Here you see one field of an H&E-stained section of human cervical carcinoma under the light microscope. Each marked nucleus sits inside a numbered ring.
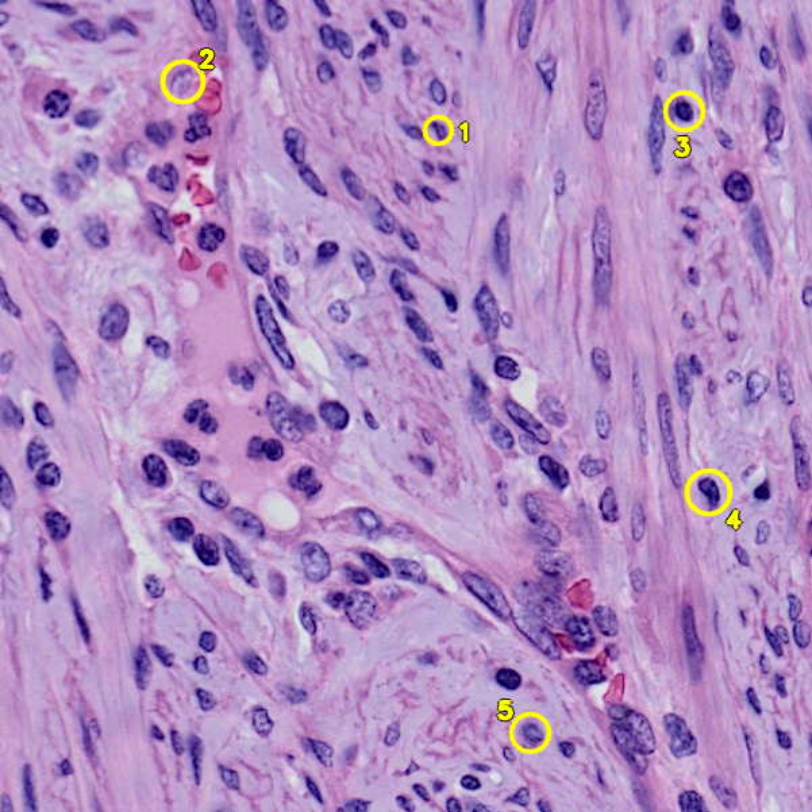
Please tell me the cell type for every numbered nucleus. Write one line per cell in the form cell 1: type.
cell 1: smooth muscle cell
cell 2: endothelial cell
cell 3: lymphocyte
cell 4: lymphocyte
cell 5: smooth muscle cell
